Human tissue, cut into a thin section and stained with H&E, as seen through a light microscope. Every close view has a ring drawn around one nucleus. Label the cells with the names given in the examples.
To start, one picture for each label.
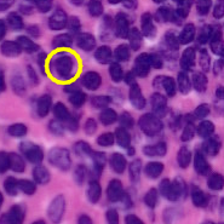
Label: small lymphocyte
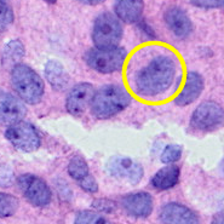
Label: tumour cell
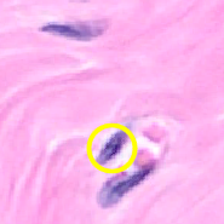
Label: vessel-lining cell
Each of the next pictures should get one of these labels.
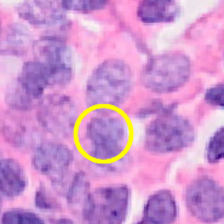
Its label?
tumour cell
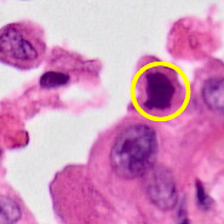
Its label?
tumour cell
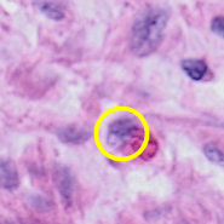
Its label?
vessel-lining cell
